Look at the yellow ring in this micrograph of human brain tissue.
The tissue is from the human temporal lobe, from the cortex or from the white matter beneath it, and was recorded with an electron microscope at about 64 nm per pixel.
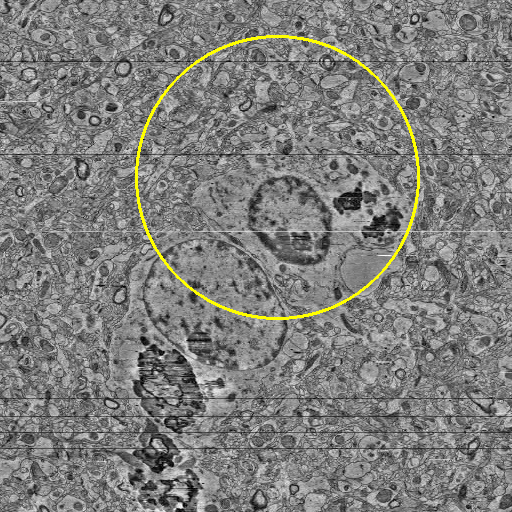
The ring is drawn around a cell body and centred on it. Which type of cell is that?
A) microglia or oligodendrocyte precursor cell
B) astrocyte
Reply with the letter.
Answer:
B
